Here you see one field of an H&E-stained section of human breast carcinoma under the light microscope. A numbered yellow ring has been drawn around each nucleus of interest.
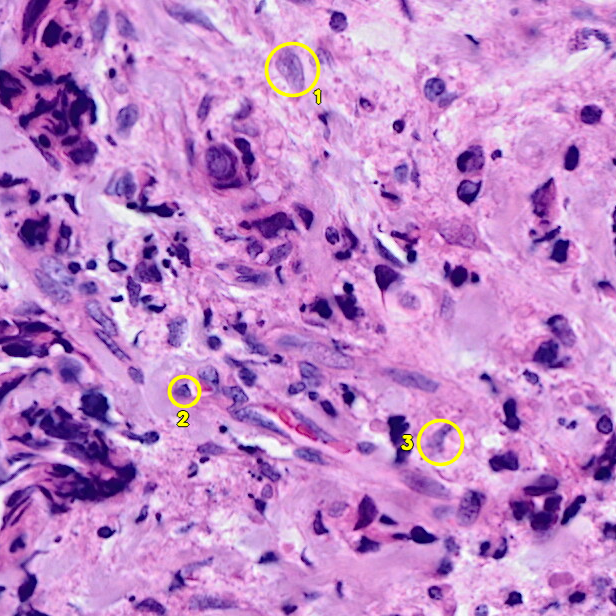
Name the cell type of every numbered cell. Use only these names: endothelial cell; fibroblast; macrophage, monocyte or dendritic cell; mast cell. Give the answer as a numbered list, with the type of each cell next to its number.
1. fibroblast
2. endothelial cell
3. fibroblast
